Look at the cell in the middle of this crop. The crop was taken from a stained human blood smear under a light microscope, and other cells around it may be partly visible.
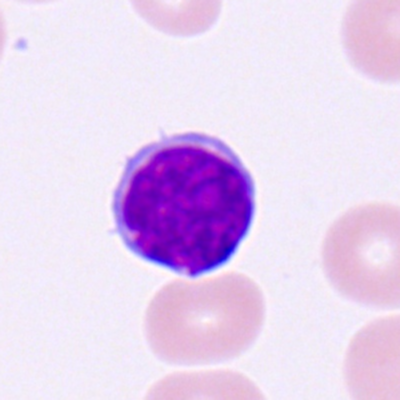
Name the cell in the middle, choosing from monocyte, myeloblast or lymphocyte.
lymphocyte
